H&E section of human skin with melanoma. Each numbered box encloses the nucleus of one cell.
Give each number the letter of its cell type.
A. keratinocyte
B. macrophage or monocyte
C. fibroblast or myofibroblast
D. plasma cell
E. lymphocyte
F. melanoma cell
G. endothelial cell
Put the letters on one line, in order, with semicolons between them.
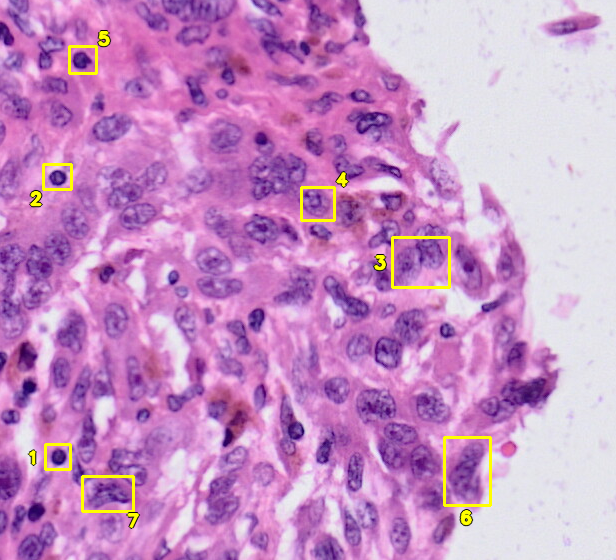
E; E; F; F; E; F; F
